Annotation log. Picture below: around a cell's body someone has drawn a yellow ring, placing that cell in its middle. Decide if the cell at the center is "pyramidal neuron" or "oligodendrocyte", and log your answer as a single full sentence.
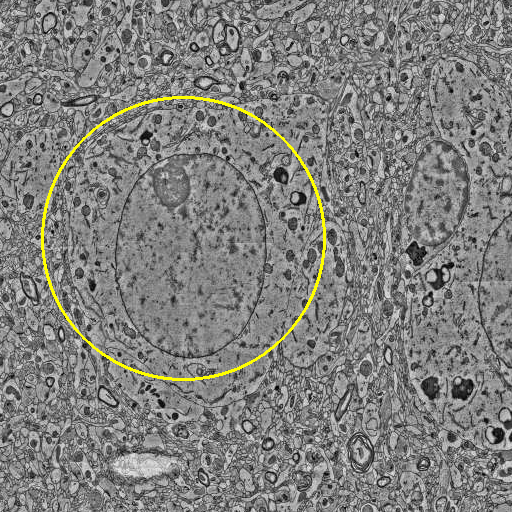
My entry records a pyramidal neuron as the cell sitting at the center of the yellow ring.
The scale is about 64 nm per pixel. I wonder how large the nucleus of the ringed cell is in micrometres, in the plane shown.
The ringed cell's nucleus is about 13 micrometres long and 10 micrometres wide in this plane.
